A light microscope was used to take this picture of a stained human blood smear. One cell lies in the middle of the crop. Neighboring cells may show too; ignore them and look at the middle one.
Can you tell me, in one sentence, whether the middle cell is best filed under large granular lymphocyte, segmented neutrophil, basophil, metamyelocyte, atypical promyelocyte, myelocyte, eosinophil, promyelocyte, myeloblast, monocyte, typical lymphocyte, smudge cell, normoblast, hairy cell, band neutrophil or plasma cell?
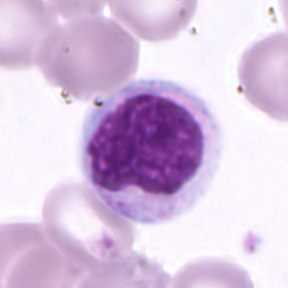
The cell positioned in the middle of the field is a metamyelocyte.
